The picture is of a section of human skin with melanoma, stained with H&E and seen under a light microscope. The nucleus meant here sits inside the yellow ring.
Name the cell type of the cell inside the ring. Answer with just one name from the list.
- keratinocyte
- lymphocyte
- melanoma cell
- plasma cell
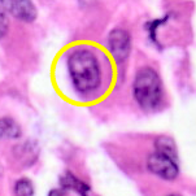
melanoma cell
